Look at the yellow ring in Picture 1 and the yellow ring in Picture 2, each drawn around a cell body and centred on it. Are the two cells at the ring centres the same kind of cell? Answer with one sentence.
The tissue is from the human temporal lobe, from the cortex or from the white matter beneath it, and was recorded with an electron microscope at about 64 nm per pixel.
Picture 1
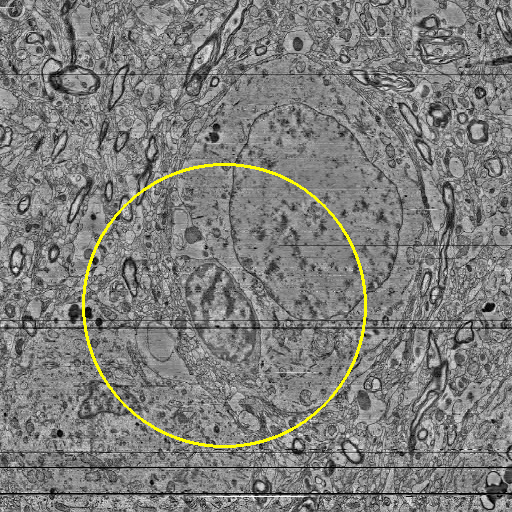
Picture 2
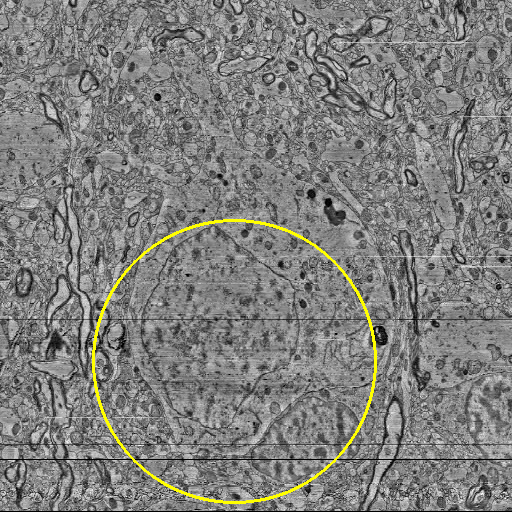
No, they are cells of two kinds.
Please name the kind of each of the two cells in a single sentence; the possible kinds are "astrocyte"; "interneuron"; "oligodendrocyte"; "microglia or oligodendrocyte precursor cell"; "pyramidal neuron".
In the first picture the ring is centred on an oligodendrocyte, and in the second on an interneuron.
